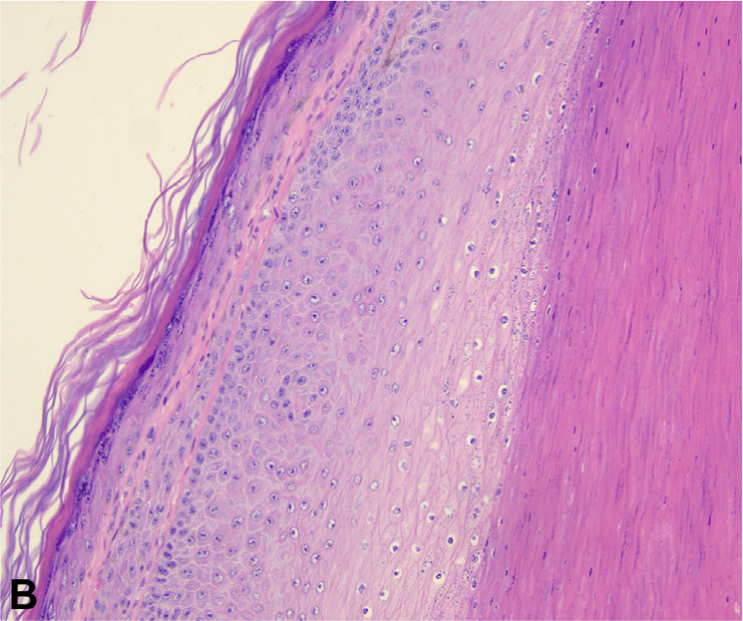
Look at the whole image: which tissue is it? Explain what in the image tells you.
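Stratified layers of polygonal cells with round central nuclei. A layer of compact pink keratin lies along one side of the cell layers. The nuclei are small and uniform in size.
Answer: epidermis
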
